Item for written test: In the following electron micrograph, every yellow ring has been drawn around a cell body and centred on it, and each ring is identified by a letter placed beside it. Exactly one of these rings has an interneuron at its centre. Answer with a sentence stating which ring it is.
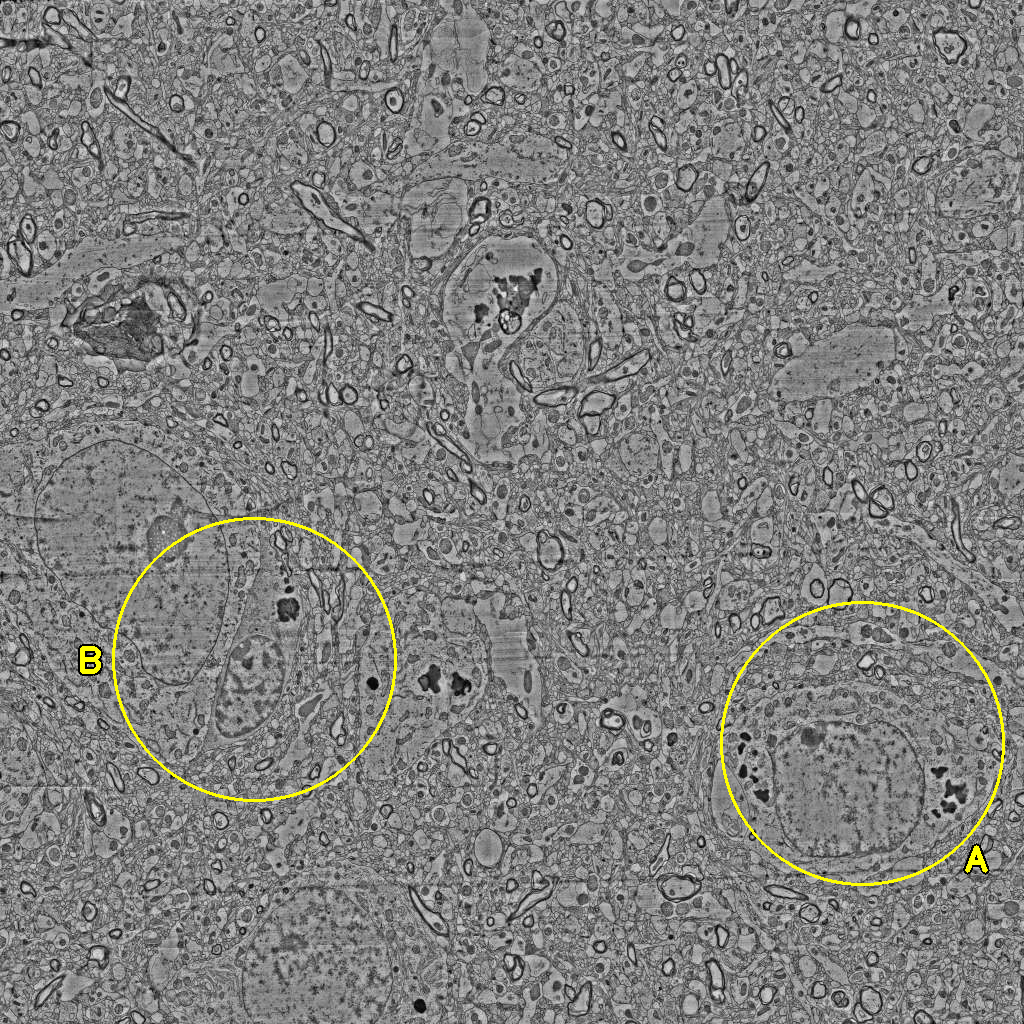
It is ring A.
